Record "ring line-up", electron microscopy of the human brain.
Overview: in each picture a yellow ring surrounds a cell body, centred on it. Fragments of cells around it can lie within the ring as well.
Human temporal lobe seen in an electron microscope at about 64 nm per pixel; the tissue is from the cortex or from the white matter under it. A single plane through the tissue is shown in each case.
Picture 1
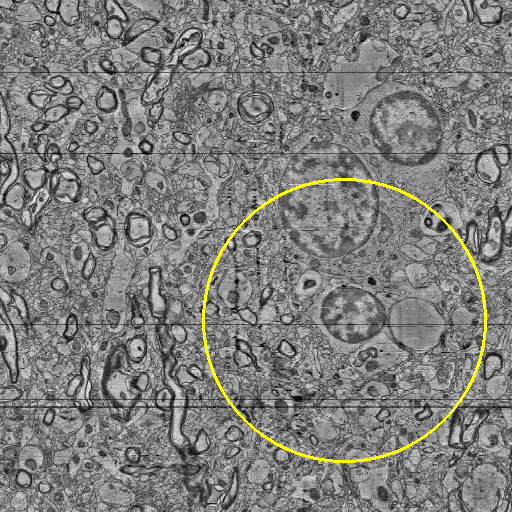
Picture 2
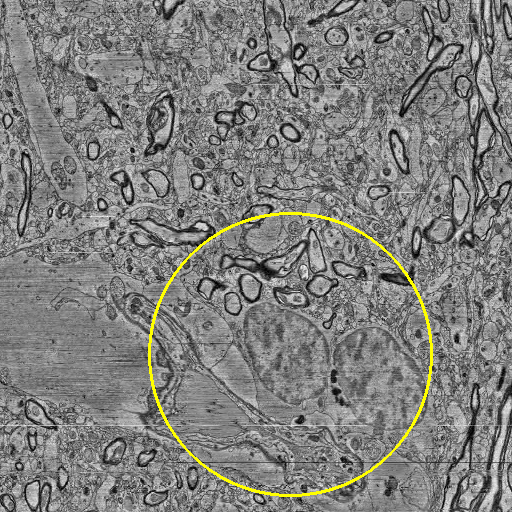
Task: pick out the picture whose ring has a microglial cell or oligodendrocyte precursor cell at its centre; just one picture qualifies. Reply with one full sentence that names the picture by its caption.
Going by the cell at the ring's centre, the right choice is Picture 1.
